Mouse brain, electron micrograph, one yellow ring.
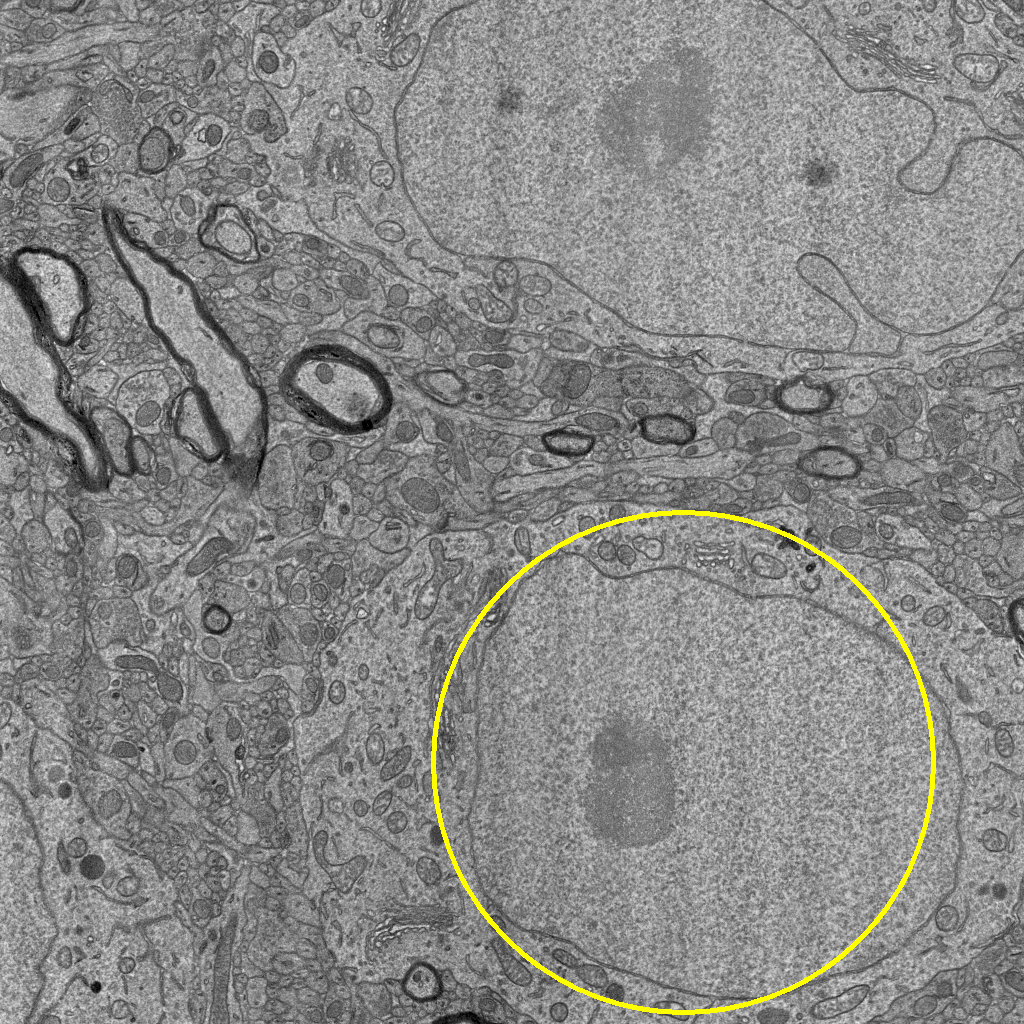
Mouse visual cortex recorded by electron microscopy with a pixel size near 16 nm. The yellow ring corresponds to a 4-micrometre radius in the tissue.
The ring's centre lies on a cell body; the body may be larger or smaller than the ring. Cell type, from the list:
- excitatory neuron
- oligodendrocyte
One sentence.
The yellow ring's centre lies on an excitatory neuron.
